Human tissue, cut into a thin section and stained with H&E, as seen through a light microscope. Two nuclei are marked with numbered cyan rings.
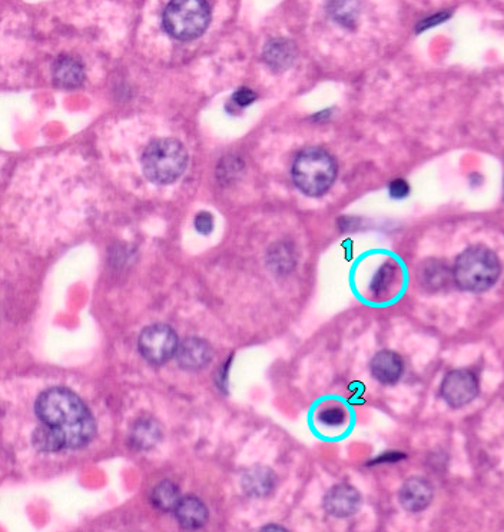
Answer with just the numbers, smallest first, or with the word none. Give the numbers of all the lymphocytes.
2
